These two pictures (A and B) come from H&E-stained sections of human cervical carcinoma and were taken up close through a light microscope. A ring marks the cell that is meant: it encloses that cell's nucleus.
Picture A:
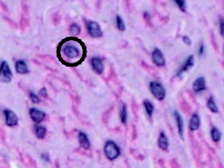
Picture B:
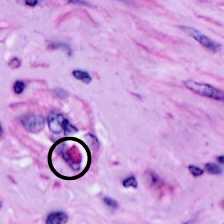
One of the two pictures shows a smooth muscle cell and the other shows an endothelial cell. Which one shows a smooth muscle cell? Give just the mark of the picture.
A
